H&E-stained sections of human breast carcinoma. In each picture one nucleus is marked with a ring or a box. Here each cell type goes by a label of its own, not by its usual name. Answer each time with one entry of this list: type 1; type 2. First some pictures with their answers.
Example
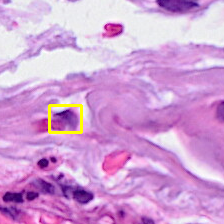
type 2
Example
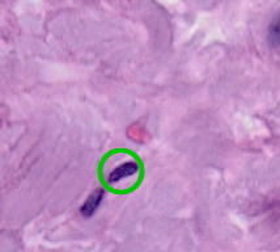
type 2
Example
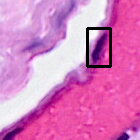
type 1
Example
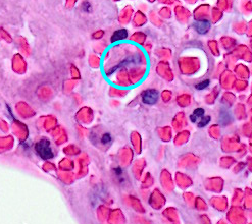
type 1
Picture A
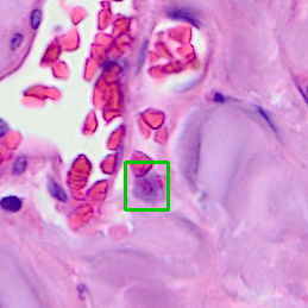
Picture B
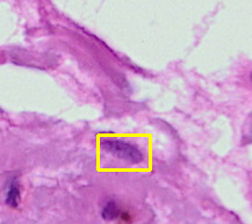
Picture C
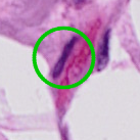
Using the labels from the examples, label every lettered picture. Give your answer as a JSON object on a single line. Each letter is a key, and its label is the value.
{"A": "type 1", "B": "type 2", "C": "type 1"}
